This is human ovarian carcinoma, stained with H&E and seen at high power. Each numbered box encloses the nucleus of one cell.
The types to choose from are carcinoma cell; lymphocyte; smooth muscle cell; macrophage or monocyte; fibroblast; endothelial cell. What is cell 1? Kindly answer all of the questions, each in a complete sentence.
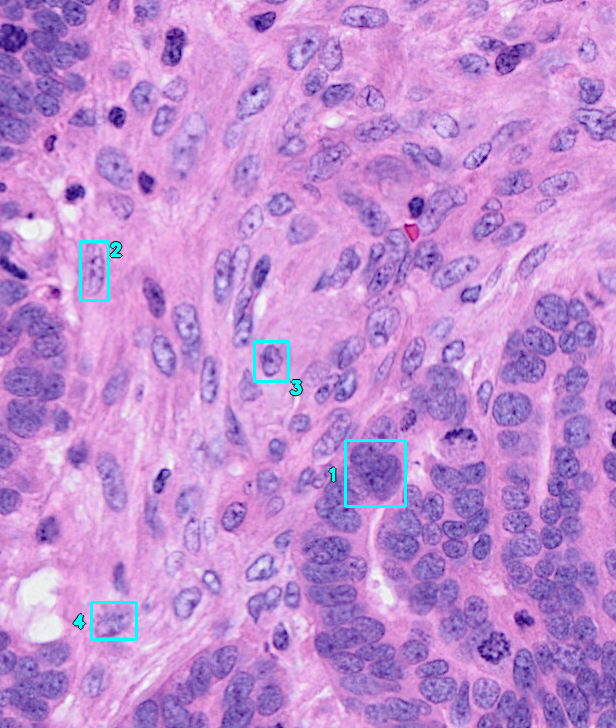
The nucleus marked 1 is the nucleus of a carcinoma cell.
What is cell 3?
The numeral 3 marks a fibroblast in this section.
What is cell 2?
Classified as a fibroblast is the cell with the number 2.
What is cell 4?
The nucleus labeled 4 belongs to a fibroblast.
